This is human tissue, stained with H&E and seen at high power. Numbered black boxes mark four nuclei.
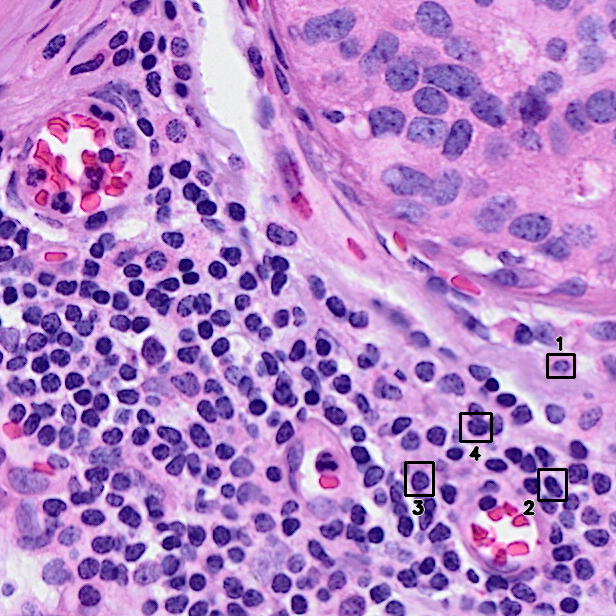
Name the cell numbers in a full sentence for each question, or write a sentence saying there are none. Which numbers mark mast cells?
Cell 1 is a mast cell, and this holds for no other numbered cell.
